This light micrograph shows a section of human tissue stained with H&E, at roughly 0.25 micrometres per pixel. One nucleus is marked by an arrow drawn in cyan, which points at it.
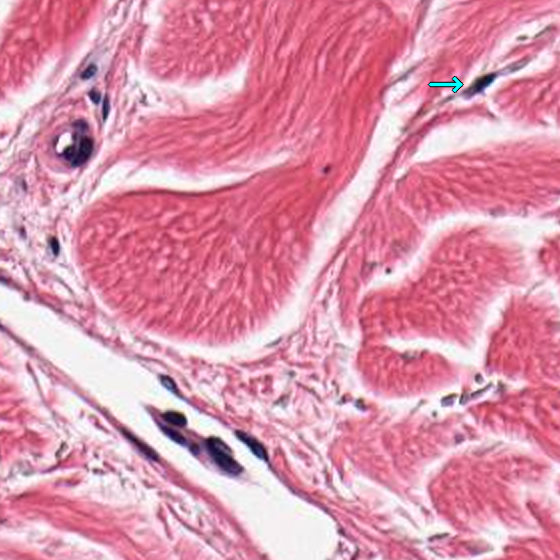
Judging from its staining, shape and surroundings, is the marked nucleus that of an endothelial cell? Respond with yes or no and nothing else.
no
